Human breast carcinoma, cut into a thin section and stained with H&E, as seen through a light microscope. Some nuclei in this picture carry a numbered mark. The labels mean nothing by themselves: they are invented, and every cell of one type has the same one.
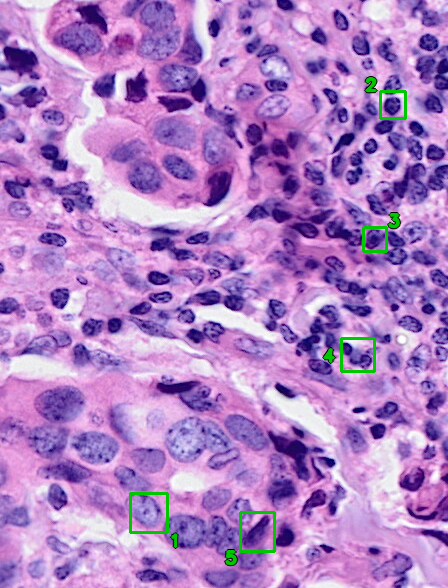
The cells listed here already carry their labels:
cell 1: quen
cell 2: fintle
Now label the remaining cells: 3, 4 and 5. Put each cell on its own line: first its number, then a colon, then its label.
3: fintle
4: fintle
5: quen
